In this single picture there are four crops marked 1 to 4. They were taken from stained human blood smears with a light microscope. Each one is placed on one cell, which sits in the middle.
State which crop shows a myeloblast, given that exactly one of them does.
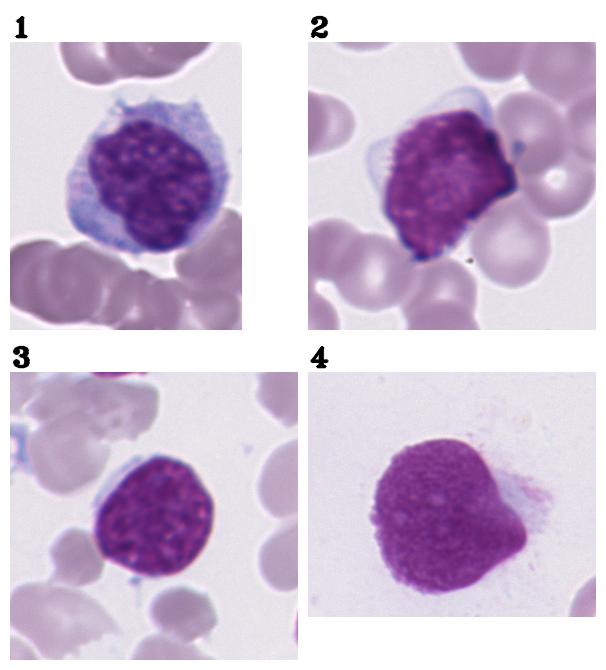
3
